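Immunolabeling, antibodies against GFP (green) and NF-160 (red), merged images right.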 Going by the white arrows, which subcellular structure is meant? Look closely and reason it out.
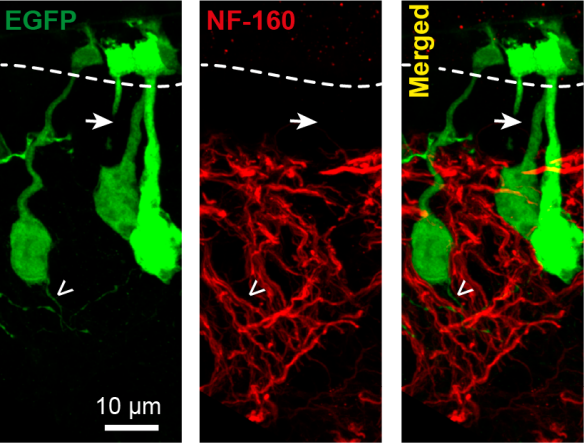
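The arrow points to a thick green process extending from a cell body up toward the dashed line. On this evidence: thick dendrite.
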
